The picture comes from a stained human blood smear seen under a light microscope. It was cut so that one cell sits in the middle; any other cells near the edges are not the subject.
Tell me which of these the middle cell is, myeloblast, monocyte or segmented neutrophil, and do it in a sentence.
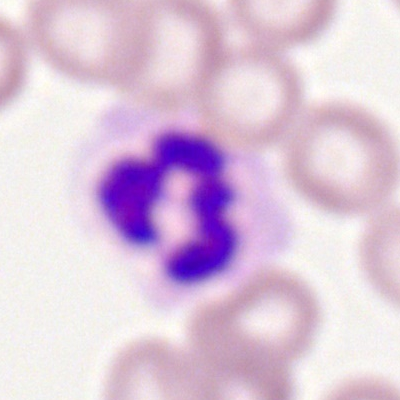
Standing at the centre of this crop is a segmented neutrophil.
